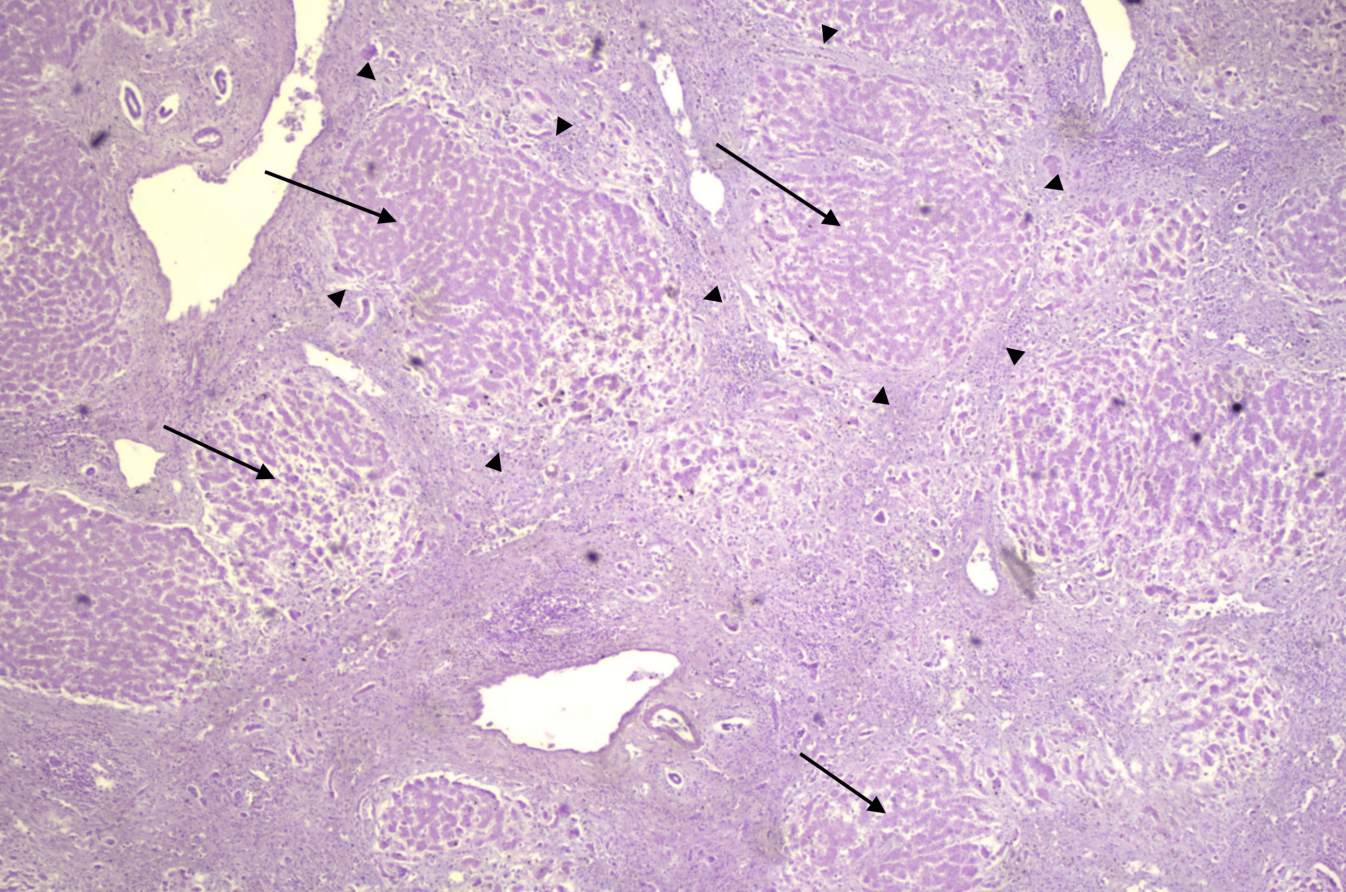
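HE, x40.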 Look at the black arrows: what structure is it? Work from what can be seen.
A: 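The arrows point into rounded islands of hepatocyte plates. Each island is surrounded by bands of paler connective tissue. So: regenerative nodules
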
